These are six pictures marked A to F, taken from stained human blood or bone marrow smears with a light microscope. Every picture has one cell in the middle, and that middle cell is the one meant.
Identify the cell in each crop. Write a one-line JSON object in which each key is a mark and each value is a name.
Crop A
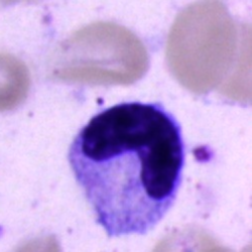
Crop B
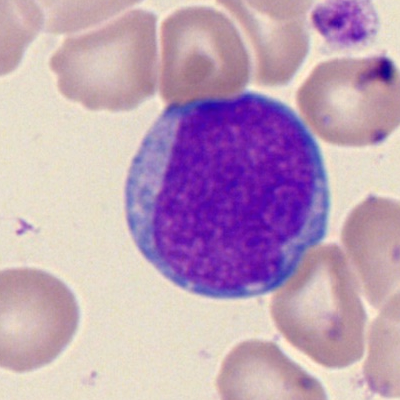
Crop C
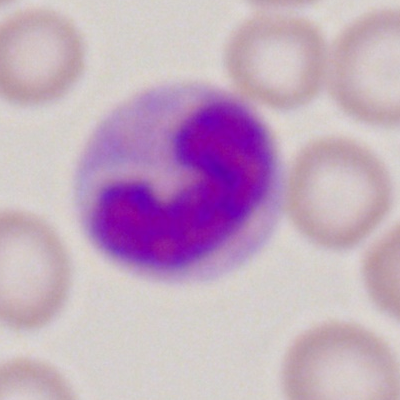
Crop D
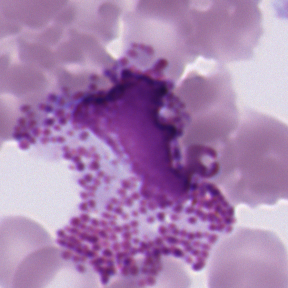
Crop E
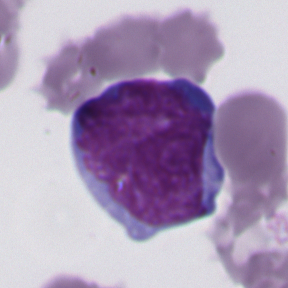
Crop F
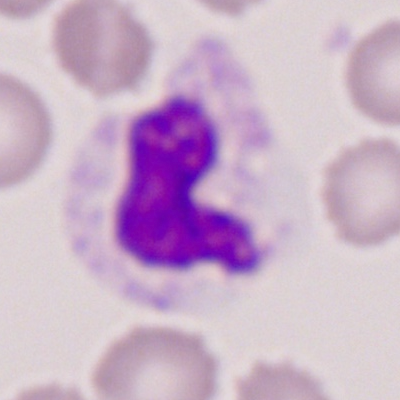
{"A": "band neutrophil", "B": "blast", "C": "band neutrophil", "D": "eosinophil", "E": "blast", "F": "band neutrophil"}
